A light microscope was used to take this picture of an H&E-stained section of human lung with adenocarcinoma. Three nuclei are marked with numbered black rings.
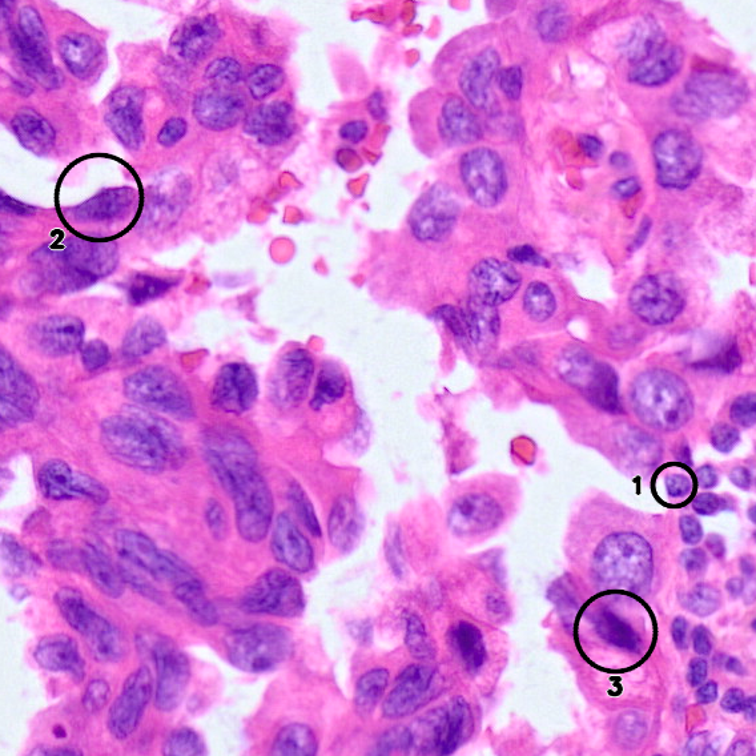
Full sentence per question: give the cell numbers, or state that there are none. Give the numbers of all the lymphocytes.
None but cell 1 among the numbered cells is a lymphocyte.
